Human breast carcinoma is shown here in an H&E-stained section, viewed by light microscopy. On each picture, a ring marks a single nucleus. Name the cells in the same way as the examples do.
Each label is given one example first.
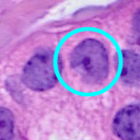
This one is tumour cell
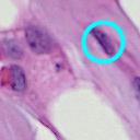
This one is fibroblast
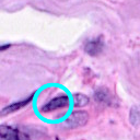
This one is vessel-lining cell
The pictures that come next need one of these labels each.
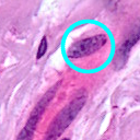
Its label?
vessel-lining cell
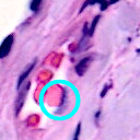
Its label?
vessel-lining cell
